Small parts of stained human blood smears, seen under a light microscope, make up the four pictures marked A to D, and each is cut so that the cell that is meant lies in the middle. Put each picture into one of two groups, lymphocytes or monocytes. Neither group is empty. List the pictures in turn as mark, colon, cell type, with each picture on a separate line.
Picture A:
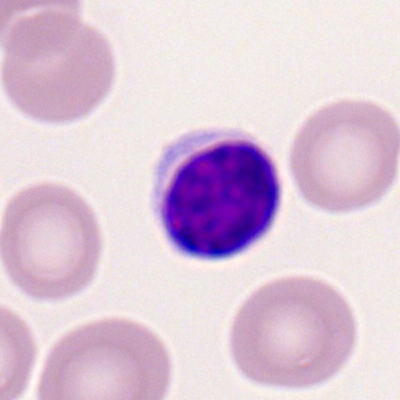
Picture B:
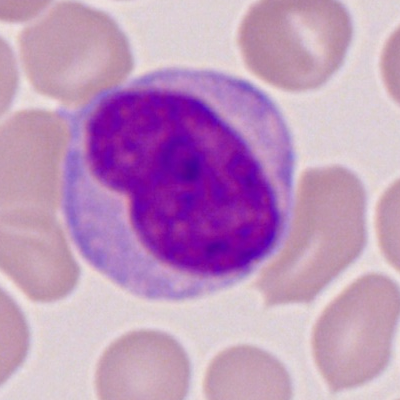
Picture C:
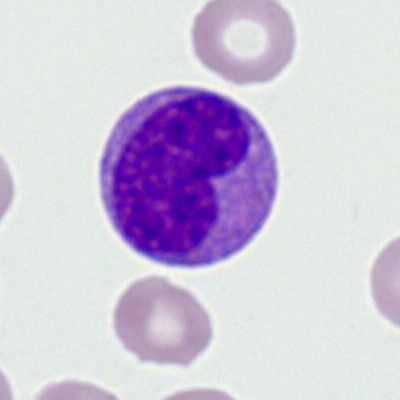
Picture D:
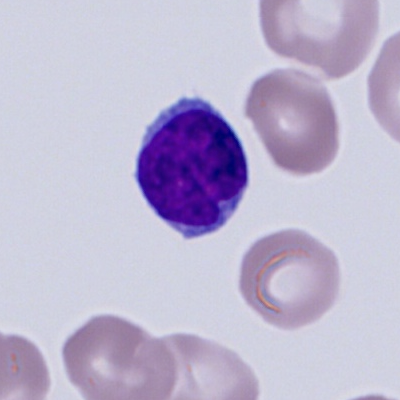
A: lymphocyte
B: monocyte
C: monocyte
D: lymphocyte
